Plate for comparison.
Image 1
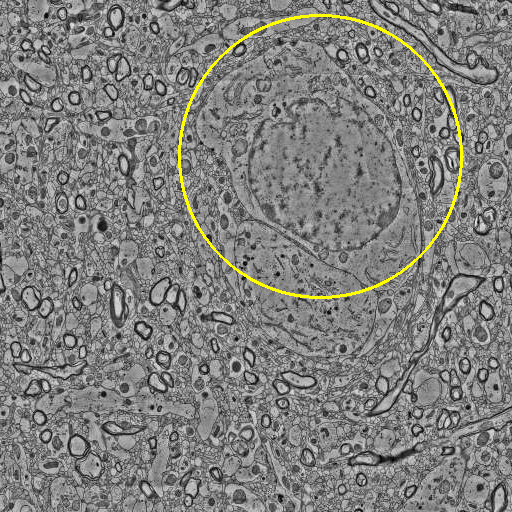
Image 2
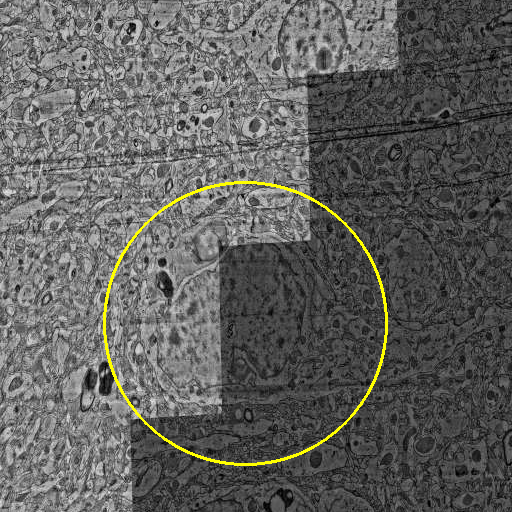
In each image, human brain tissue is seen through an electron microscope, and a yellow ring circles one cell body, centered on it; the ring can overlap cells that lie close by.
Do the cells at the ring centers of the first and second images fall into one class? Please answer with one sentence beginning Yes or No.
Yes, the first and second images show a single class of cell at the ring centers.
